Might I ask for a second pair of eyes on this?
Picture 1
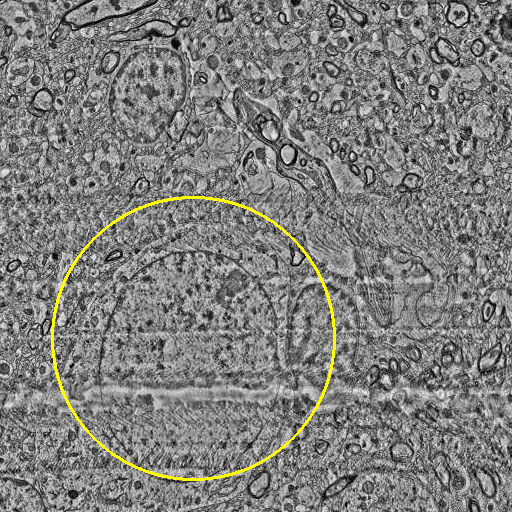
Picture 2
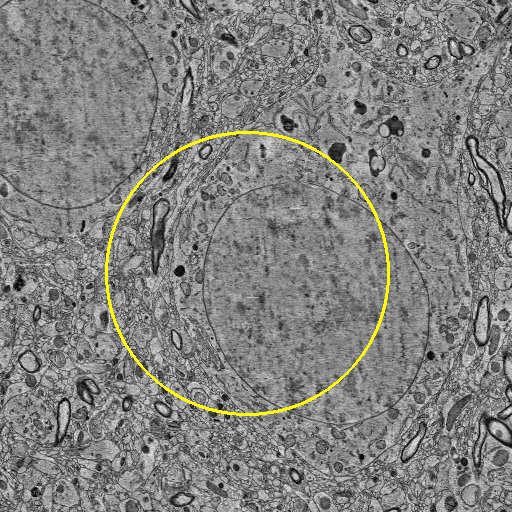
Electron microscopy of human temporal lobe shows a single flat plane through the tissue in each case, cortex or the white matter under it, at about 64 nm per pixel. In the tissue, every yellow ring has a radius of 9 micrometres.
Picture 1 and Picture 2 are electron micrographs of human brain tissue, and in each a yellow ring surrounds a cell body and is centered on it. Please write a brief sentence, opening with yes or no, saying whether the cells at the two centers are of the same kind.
Yes, the cells are of the same kind.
